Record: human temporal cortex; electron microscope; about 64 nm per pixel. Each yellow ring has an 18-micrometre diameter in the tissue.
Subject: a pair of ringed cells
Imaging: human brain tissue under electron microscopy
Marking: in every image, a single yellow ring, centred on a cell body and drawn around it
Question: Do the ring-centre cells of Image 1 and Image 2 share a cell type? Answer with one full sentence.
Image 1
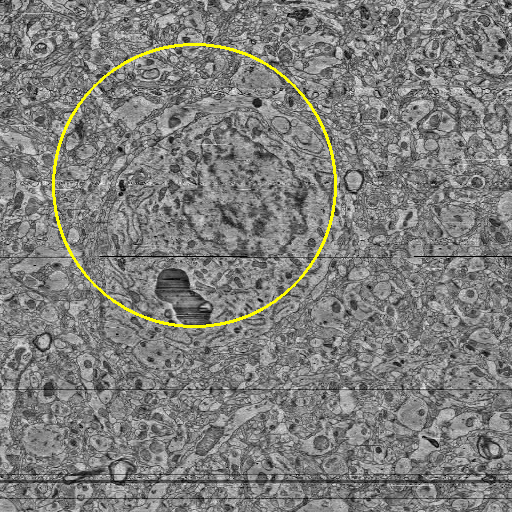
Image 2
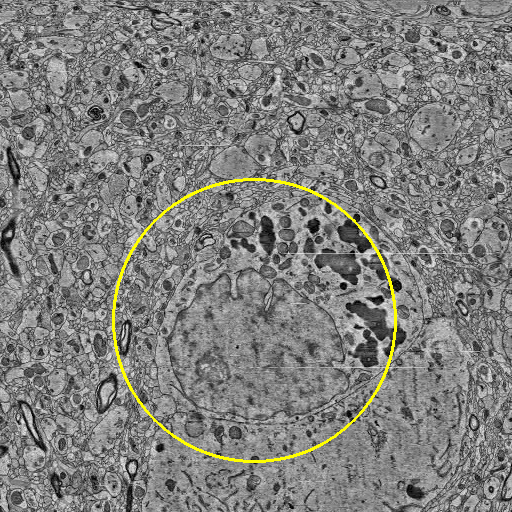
Yes, at each ring's centre in the images sits a cell of one common type.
